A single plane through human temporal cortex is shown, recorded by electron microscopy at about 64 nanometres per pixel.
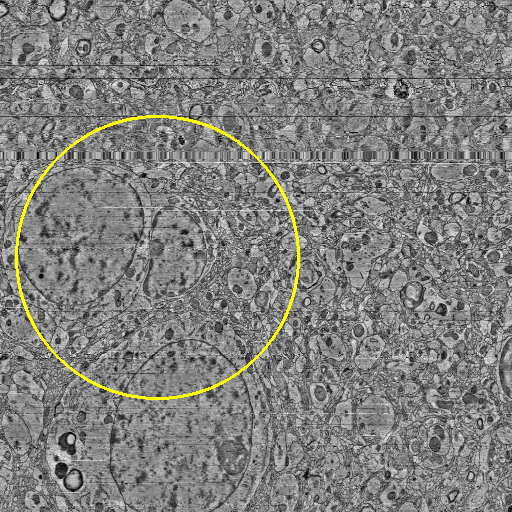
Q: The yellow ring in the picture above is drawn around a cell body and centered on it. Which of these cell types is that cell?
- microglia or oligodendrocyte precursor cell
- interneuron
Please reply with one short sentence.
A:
The cell body at the ring's center belongs to a microglial cell or oligodendrocyte precursor cell.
